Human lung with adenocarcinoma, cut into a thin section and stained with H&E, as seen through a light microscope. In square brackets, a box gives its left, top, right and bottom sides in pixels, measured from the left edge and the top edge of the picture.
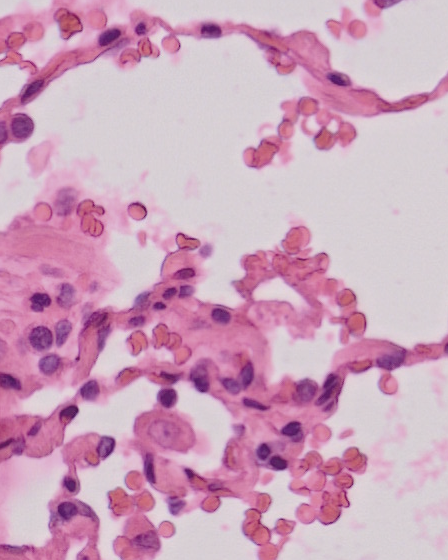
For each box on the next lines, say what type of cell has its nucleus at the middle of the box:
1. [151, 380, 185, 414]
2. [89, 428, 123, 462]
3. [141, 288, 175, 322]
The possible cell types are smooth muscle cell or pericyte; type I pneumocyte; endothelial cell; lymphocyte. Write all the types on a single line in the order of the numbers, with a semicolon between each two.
lymphocyte; type I pneumocyte; endothelial cell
